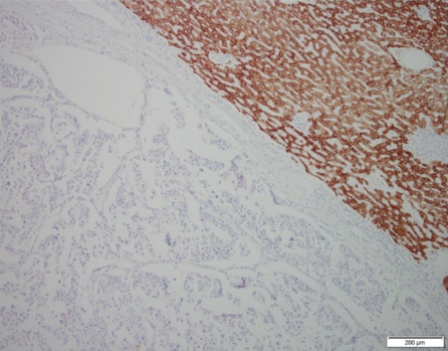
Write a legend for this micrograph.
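This section shows a tumour next to normal liver. The top-right corner holds liver parenchyma. Its hepatocytes stain an intense brown throughout the cytoplasm and are arranged in anastomosing plates and cords, broken by pale sinusoidal spaces and small vessels. A band of pale, loosely fibrous tissue runs diagonally across the field and separates the liver from the tumour below and to the left. The tumour cells take up none of the brown stain and appear only in the blue counterstain. They are small and closely packed, with crowded nuclei, and lie in nests and branching trabeculae divided by thin septa, clefts and a few dilated spaces.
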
